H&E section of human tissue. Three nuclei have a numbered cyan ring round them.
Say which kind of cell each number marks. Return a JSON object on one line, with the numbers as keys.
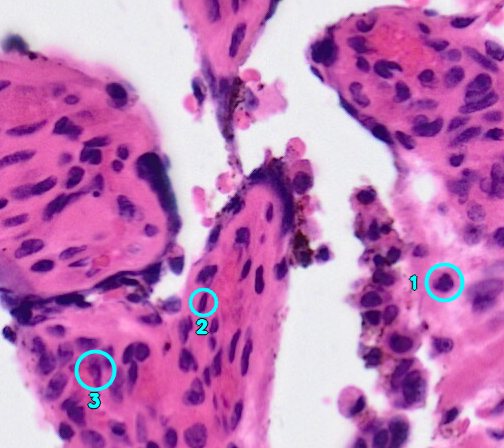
{"1": "macrophage or monocyte", "2": "endothelial cell", "3": "endothelial cell"}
